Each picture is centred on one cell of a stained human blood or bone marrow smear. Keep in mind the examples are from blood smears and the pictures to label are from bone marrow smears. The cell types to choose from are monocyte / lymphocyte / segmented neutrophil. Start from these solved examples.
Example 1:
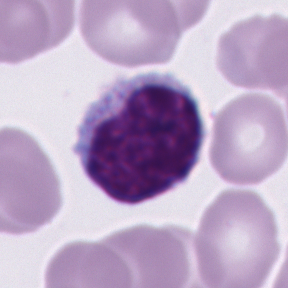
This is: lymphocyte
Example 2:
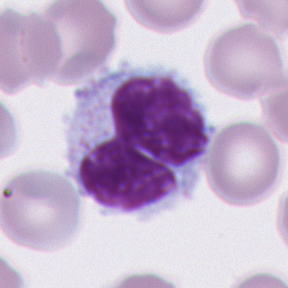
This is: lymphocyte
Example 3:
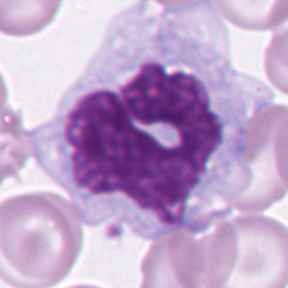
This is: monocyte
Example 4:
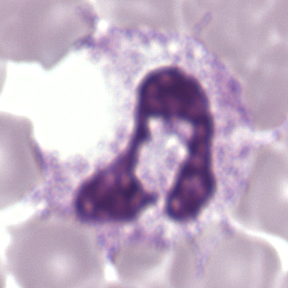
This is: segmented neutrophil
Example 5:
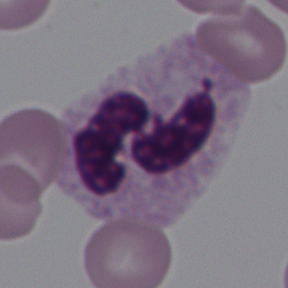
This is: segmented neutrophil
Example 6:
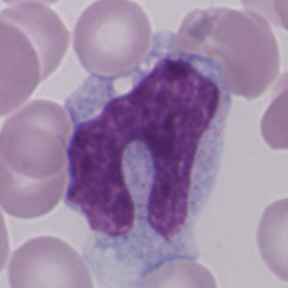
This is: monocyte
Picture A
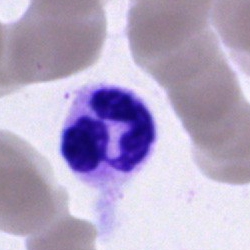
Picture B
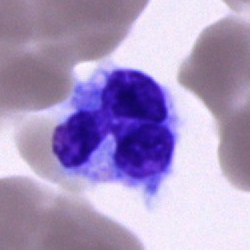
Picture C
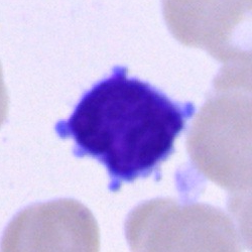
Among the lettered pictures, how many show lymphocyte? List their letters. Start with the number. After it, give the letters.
1, namely C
